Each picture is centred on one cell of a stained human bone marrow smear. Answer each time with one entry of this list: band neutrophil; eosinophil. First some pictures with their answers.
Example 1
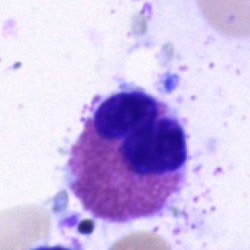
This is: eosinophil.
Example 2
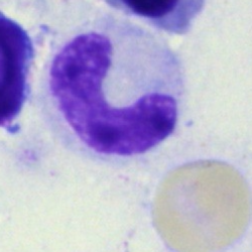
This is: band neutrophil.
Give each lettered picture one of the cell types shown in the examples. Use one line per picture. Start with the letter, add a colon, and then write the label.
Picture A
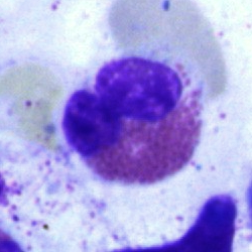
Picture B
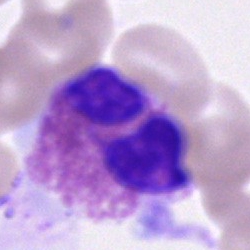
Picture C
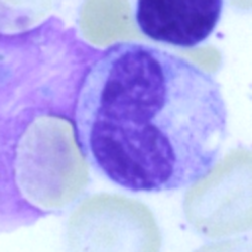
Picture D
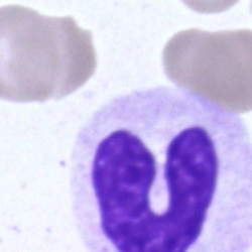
A: eosinophil.
B: eosinophil.
C: band neutrophil.
D: band neutrophil.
